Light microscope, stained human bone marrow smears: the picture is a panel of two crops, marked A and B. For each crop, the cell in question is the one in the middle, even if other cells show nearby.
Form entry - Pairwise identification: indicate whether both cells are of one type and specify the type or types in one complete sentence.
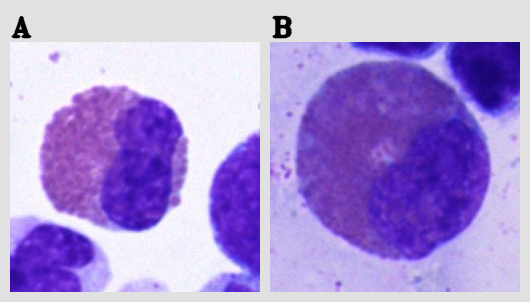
Yes, with regard to both crops, the central cells are eosinophils.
